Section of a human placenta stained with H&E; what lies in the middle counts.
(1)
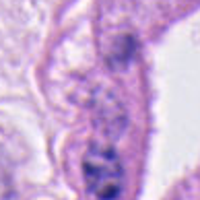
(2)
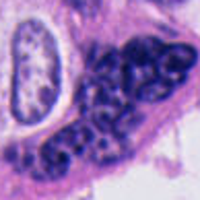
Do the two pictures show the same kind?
No: a cytotrophoblast, then a syncytial knot.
